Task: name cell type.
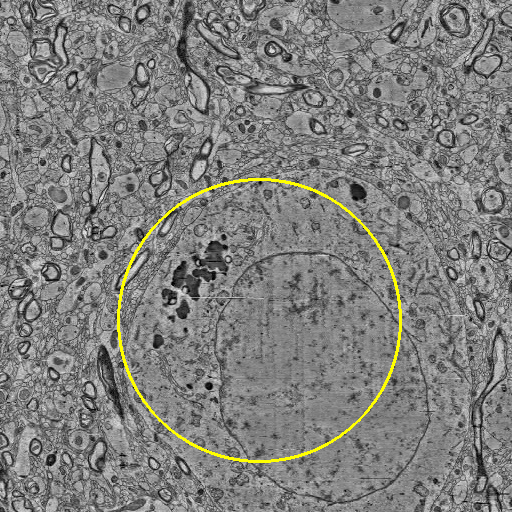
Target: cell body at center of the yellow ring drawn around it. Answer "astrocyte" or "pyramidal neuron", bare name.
pyramidal neuron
